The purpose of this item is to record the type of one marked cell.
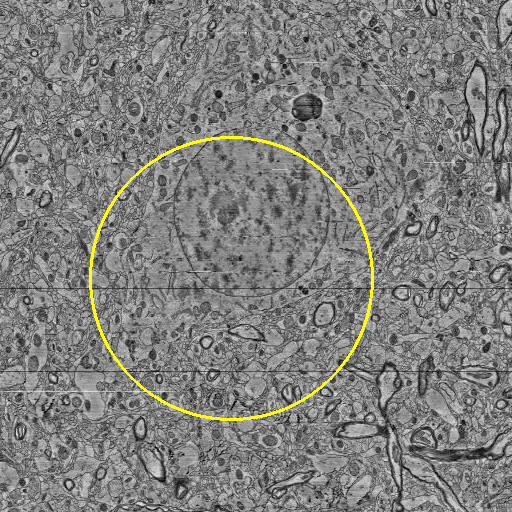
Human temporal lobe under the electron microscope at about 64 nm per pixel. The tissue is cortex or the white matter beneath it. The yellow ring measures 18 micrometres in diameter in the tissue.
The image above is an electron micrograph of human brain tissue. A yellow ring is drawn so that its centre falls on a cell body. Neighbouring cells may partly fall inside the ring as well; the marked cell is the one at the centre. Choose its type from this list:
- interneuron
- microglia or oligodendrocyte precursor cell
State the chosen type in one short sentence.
What the ring marks here is an interneuron.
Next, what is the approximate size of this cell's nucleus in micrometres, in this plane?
In this plane, about 12 micrometres in length and 10 in width.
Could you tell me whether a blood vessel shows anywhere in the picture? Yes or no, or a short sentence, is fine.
No, no blood vessel can be seen.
